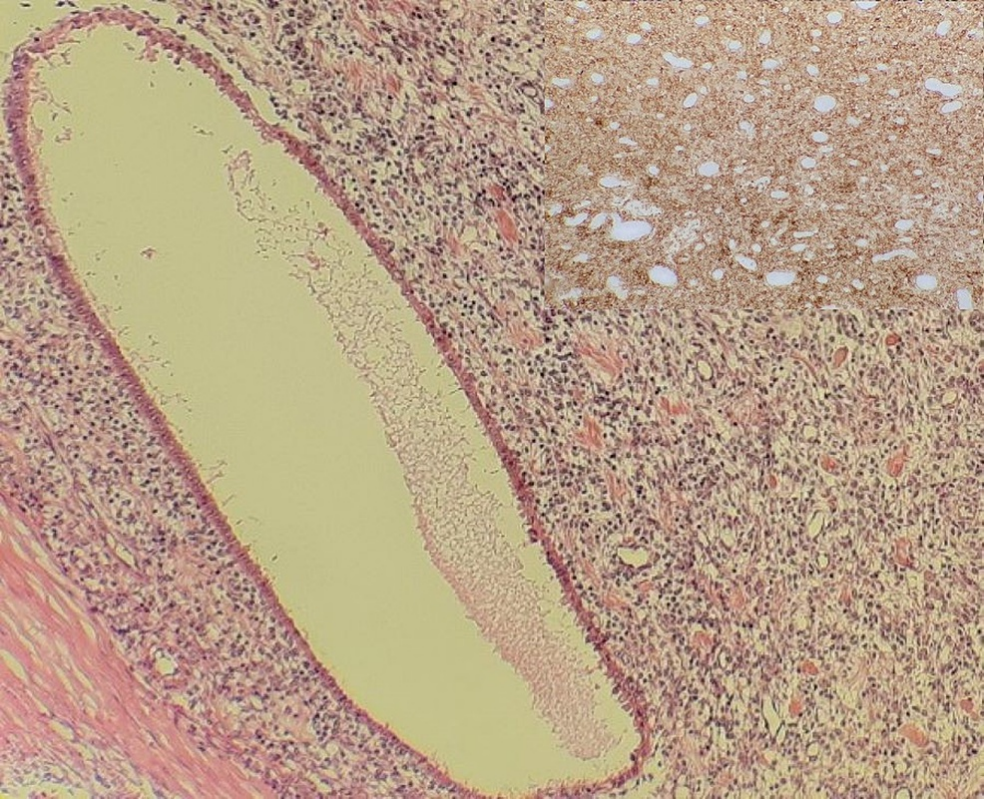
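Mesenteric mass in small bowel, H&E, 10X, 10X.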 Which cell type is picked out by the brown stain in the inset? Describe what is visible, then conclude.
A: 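The inset shows diffuse brown staining across a densely cellular field. Unstained round and oval vessel spaces are scattered within the brown-stained tissue.
Hence: stromal cells.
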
